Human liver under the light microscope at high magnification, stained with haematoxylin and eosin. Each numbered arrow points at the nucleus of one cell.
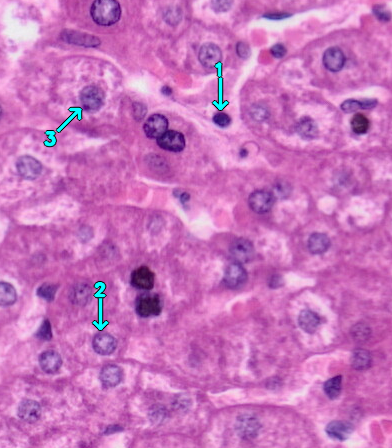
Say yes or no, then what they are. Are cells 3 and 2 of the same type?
Yes, in short, cells 3 and 2 are both hepatocytes.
